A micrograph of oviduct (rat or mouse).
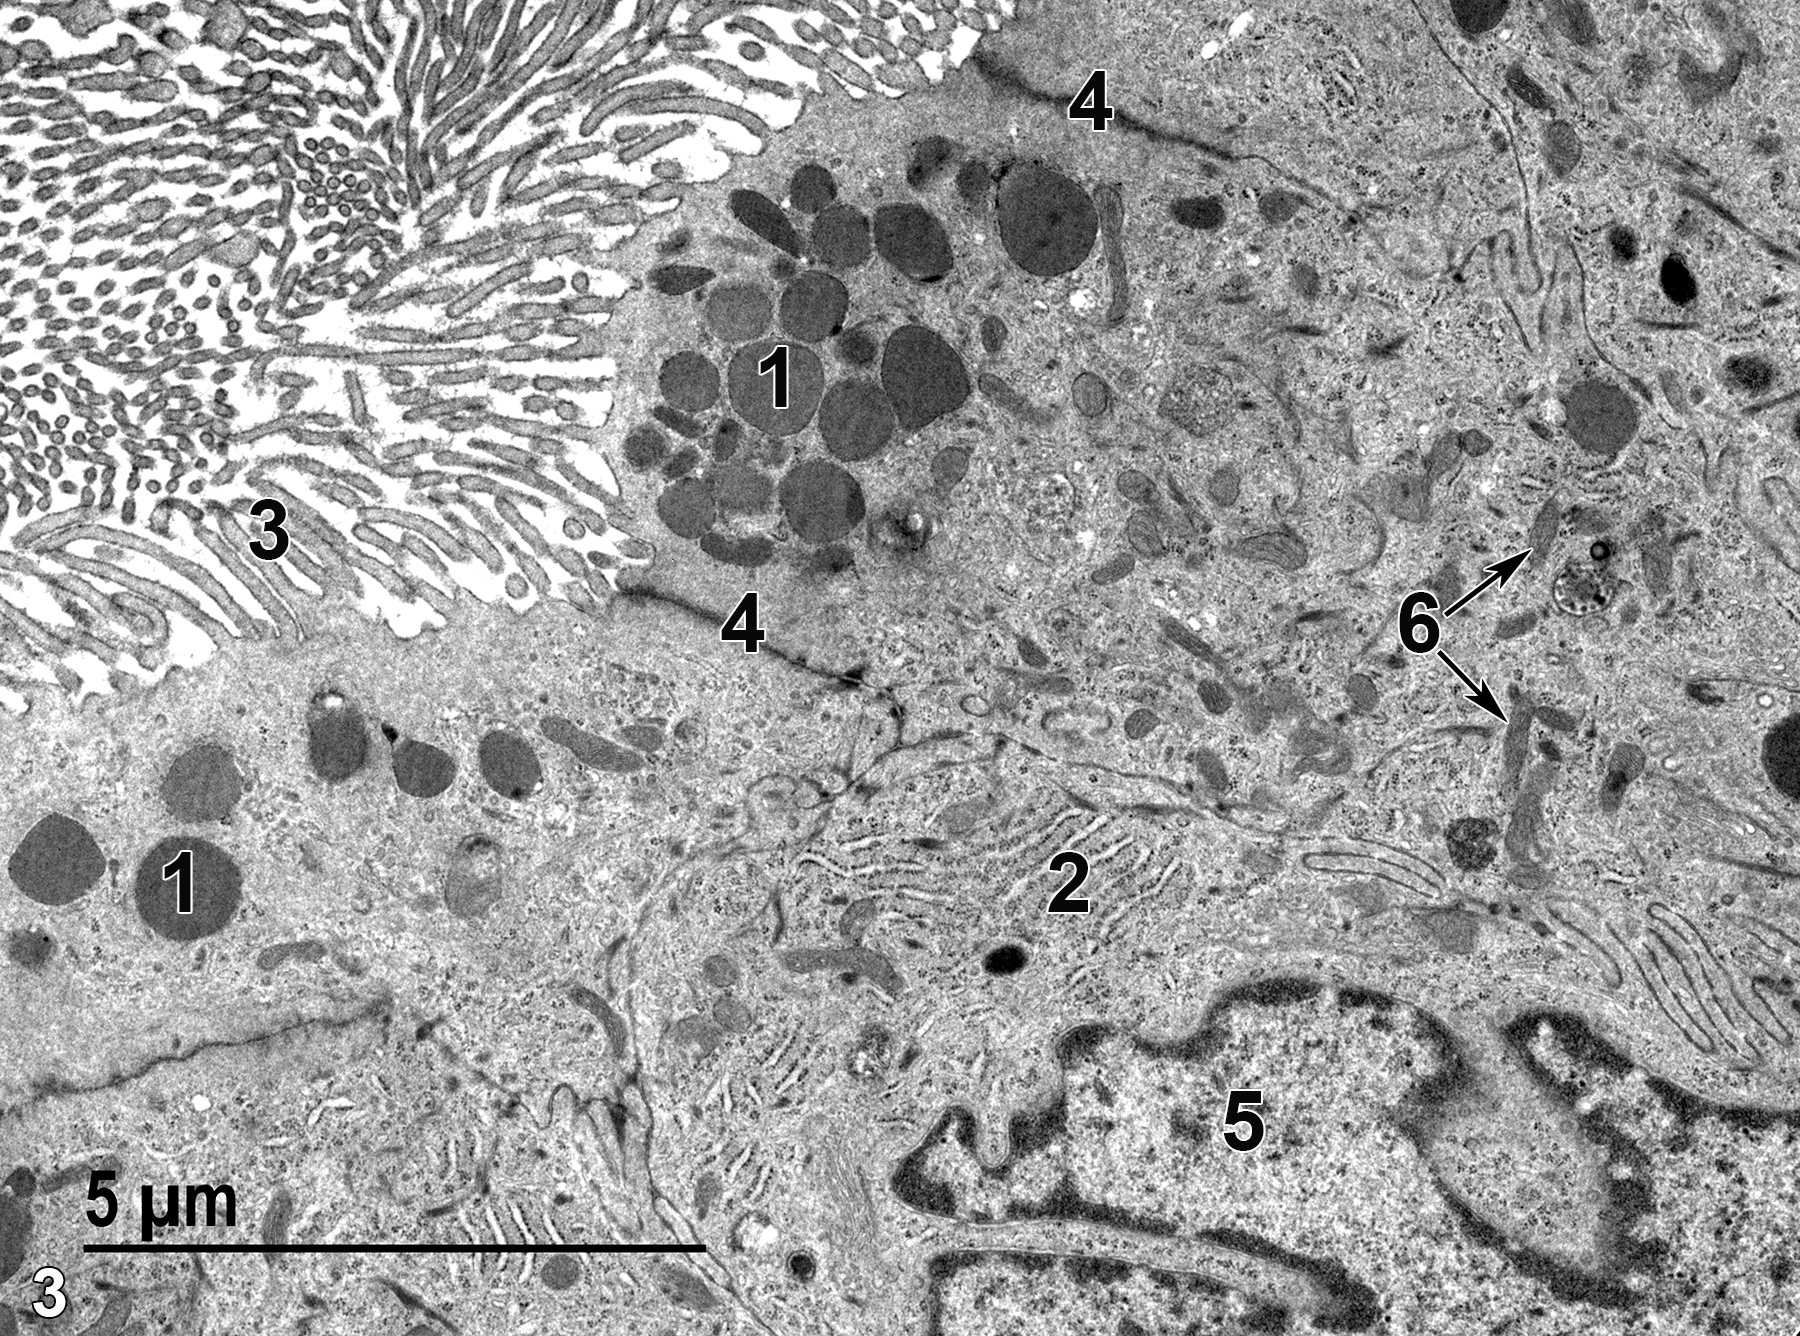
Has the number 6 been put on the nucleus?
No. The mitochondria.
